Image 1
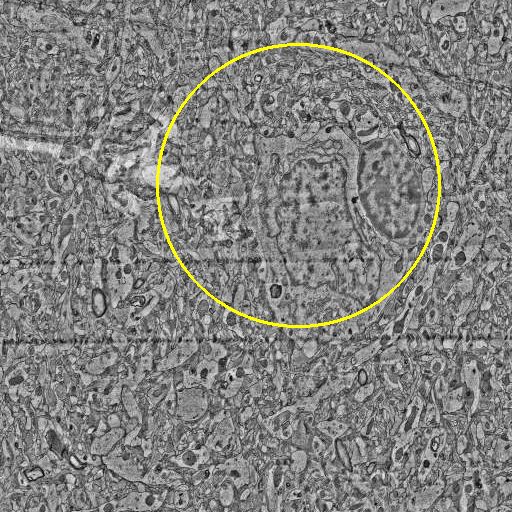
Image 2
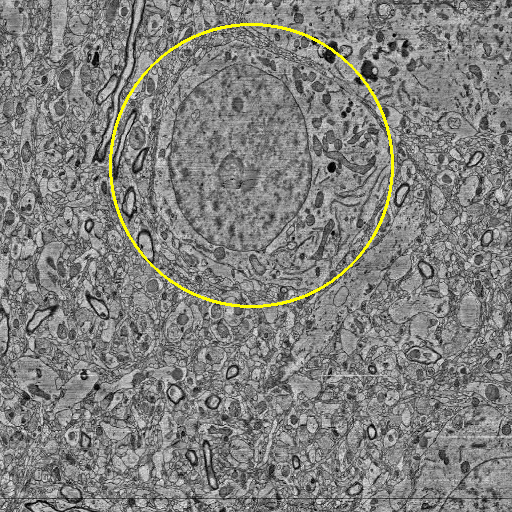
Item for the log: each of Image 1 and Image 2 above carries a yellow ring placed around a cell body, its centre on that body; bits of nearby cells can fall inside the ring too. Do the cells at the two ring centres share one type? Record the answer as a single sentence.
Yes, the two cells at the ring centres in Image 1 and Image 2 share one type.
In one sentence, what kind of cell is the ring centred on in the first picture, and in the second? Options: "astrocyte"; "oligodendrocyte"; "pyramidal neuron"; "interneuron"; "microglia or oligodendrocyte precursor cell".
In each of the two pictures, the ringed cell is an interneuron.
